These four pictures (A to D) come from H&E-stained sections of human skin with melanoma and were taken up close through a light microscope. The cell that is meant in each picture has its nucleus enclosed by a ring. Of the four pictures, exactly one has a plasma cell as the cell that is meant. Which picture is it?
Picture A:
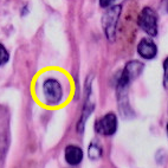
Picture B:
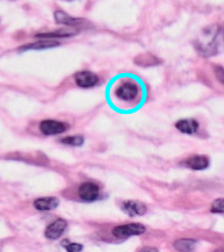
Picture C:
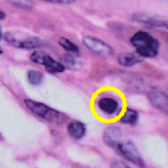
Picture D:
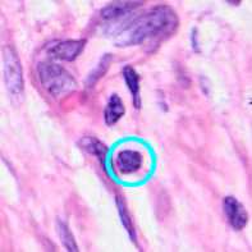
B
